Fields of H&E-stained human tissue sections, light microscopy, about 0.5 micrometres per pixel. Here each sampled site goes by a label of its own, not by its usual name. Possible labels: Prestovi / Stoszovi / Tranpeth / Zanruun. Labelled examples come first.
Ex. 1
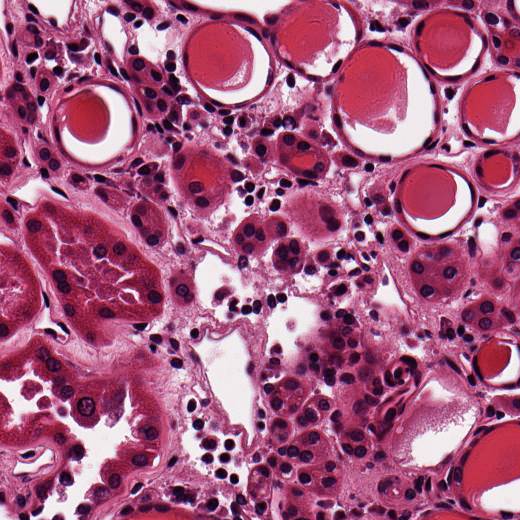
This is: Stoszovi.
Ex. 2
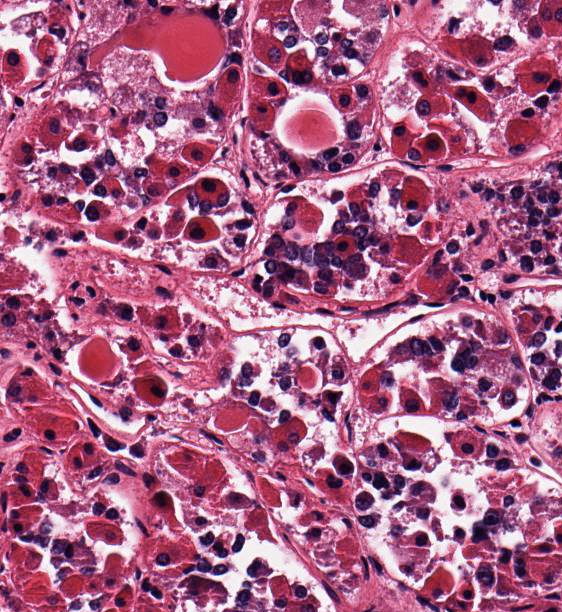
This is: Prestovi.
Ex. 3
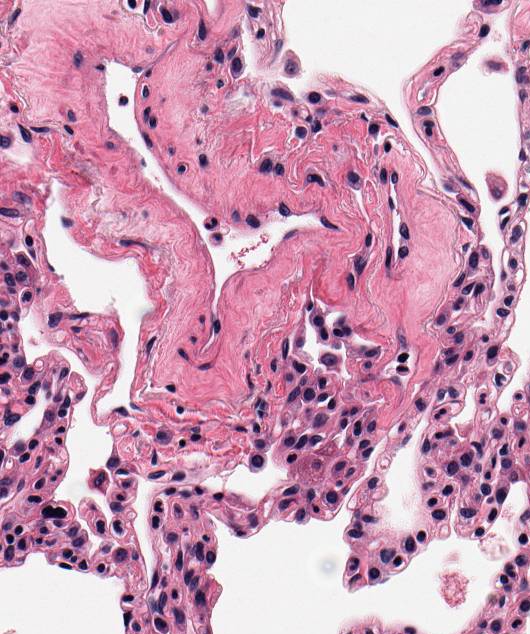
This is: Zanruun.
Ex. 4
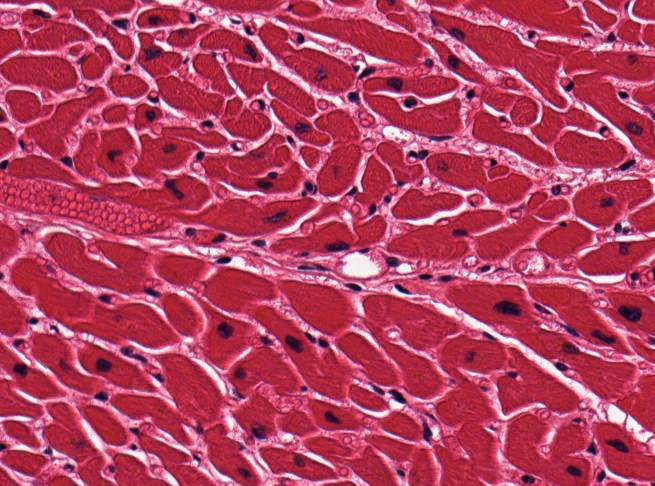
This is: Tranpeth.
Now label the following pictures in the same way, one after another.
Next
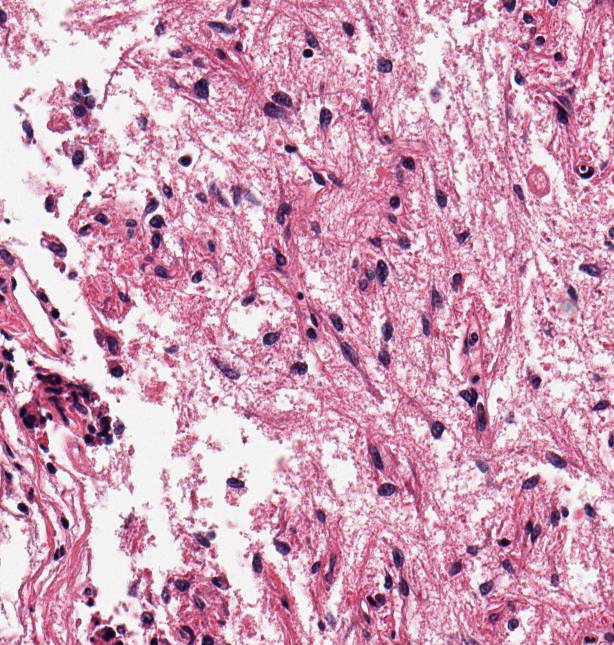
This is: Prestovi.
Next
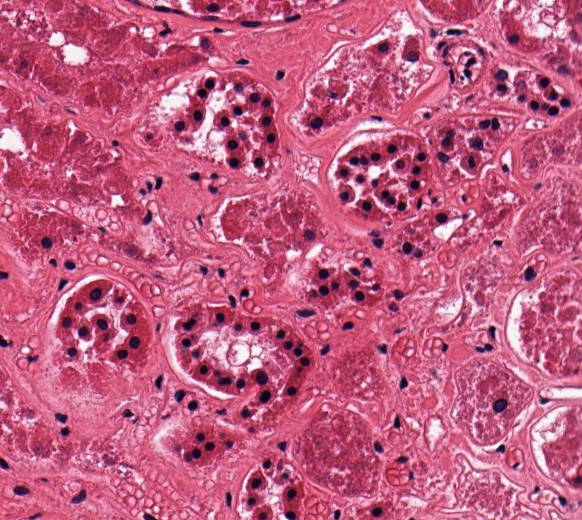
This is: Stoszovi.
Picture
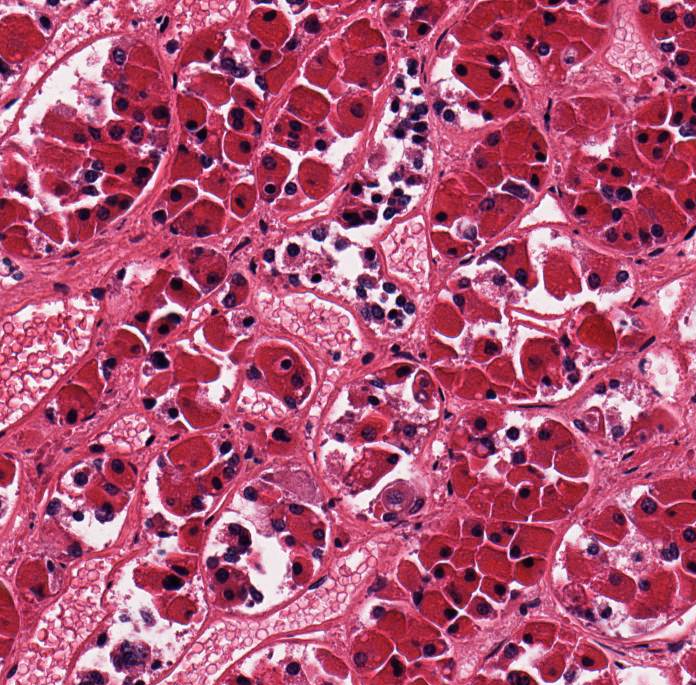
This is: Prestovi.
